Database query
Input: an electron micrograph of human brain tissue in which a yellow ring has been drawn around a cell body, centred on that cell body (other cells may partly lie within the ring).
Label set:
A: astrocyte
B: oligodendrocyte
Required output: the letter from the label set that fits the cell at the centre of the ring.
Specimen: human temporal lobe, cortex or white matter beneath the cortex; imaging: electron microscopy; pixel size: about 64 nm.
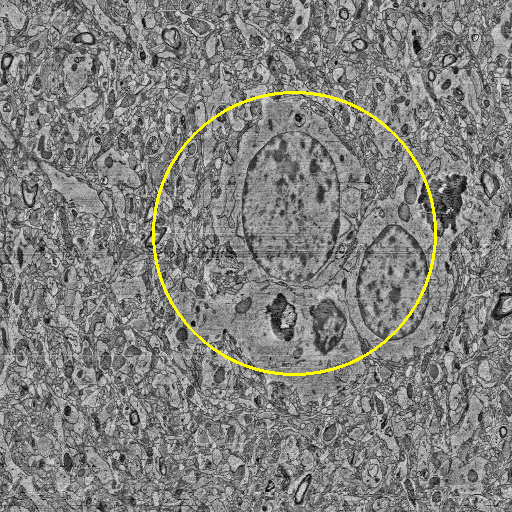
A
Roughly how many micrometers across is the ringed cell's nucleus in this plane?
The nucleus of the ringed cell is clearly longer than it is wide in this plane, about 10 by 6 micrometres.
